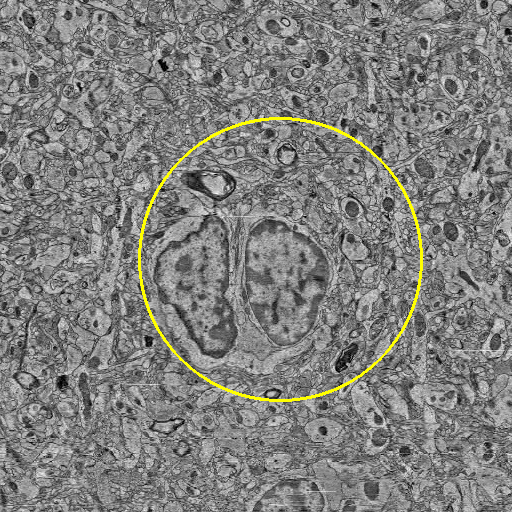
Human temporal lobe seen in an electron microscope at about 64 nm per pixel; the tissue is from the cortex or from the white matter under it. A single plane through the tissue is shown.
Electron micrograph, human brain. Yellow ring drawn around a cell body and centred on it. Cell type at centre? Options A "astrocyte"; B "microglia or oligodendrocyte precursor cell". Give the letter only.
B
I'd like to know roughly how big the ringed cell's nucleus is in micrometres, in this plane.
The nucleus comes to roughly 8 by 5 micrometres in this plane.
